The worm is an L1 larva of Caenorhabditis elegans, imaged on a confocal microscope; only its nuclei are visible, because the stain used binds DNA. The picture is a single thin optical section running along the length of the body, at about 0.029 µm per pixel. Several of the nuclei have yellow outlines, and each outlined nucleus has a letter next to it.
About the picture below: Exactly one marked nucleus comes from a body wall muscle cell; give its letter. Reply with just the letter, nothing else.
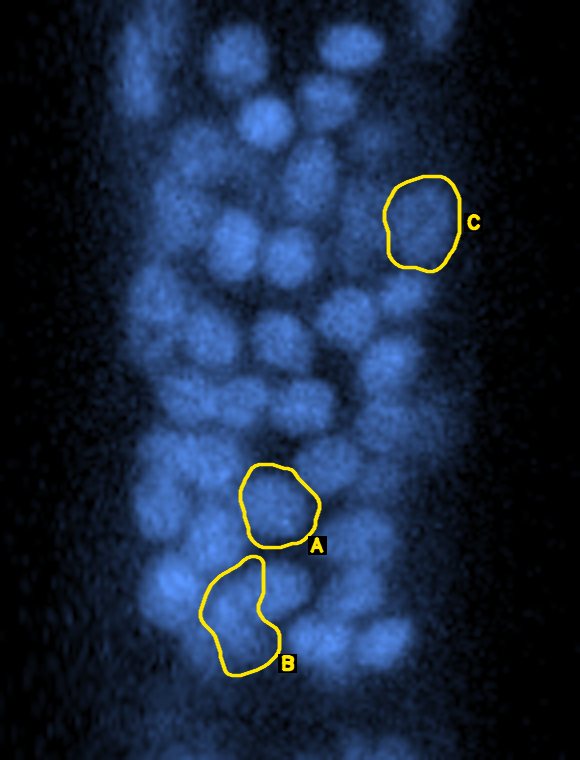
C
